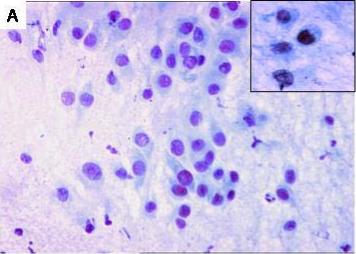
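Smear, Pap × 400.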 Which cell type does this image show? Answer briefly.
Polygonal cells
